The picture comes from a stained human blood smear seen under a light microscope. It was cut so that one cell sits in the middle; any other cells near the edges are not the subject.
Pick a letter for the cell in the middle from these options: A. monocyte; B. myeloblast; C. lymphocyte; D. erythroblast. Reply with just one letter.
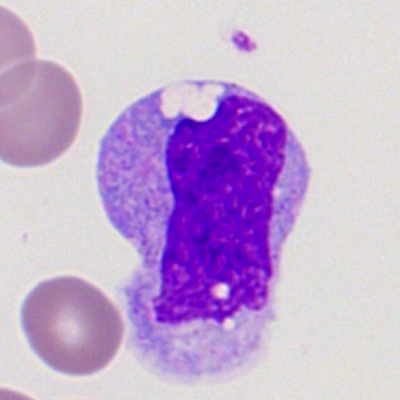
A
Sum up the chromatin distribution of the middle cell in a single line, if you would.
Check the chromatin: it is fine and not coarsely clumped.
